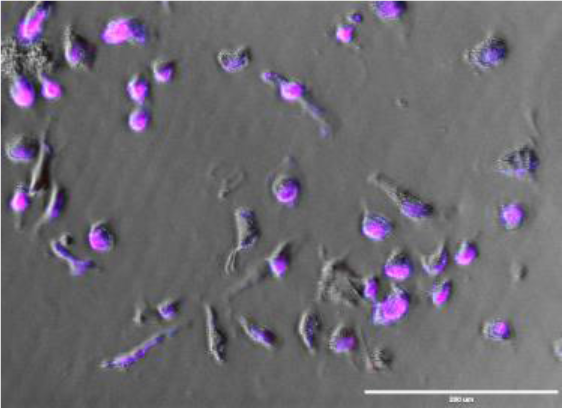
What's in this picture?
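Most cells are small, with a compact rounded or teardrop-shaped body that carries bright magenta-violet fluorescence. Many cells have one or more tapering processes, and several are elongated or spindle-shaped, giving an irregular, migratory look. The fluorescence is concentrated over the cell bodies, while the thin processes are only faintly coloured or unstained. The cells lie apart from one another, with a loose clump of debris at the upper left.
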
